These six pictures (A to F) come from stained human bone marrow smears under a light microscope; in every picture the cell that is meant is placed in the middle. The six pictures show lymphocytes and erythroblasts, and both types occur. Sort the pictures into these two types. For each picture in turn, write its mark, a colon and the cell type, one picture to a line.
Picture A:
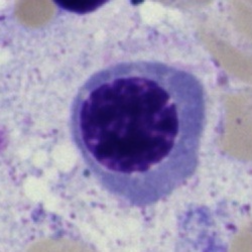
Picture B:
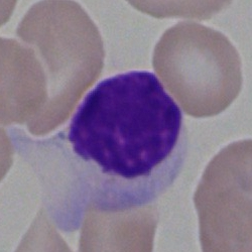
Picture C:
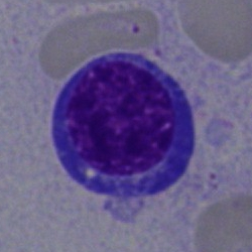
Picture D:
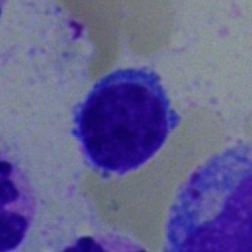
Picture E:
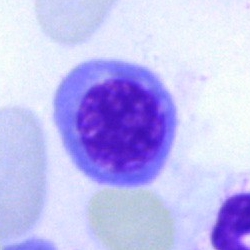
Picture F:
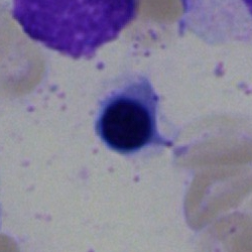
A: erythroblast
B: lymphocyte
C: erythroblast
D: lymphocyte
E: erythroblast
F: erythroblast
